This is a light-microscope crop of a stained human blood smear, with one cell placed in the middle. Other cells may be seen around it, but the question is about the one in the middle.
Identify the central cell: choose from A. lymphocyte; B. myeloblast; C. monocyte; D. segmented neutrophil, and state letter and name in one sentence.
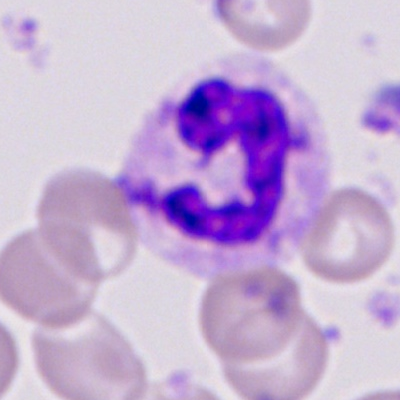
Since the cell in the centre is a segmented neutrophil, the correct option is D.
